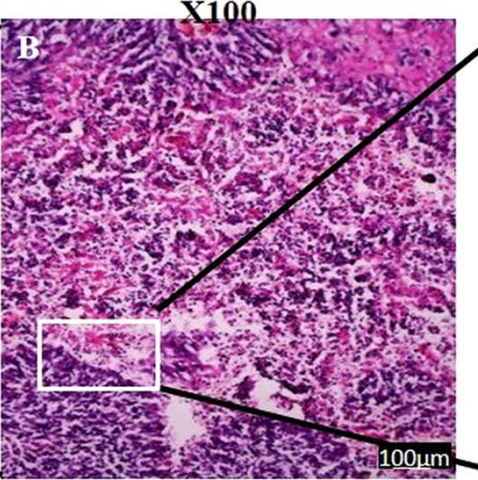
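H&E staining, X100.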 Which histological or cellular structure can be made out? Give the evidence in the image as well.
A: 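Much of the field is loose, fragmented pink material with open spaces. Scattered small dark nuclear fragments lie among the pink material rather than intact cell sheets. So: cell debris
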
